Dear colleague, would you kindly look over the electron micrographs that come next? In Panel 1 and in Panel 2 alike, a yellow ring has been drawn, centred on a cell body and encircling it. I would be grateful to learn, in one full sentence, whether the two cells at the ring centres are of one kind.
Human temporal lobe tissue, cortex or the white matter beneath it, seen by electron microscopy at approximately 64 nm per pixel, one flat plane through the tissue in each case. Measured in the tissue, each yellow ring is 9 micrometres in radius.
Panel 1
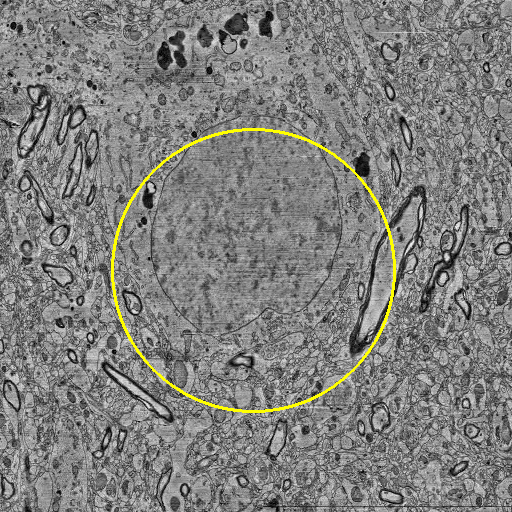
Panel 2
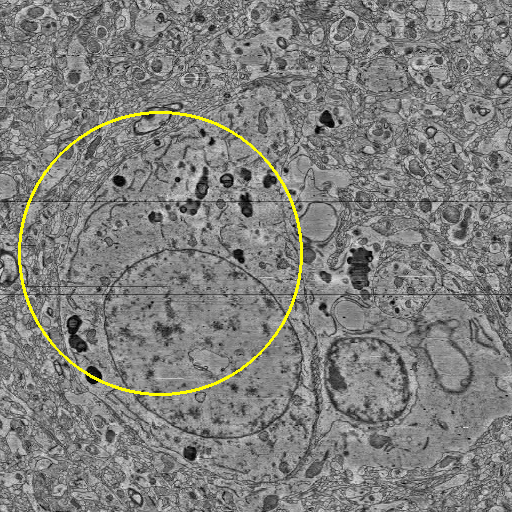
Yes, the cells in the middle of the rings in the two panels are of one kind.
